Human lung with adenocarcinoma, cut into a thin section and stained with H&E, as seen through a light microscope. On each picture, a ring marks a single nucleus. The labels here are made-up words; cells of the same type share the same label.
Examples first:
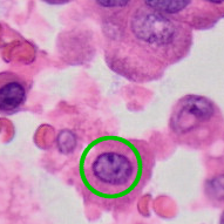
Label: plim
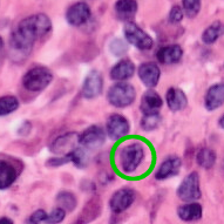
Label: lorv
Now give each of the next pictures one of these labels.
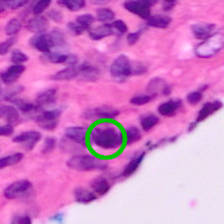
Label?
lorv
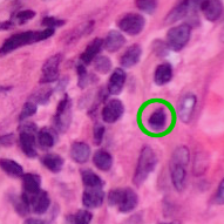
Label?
lorv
